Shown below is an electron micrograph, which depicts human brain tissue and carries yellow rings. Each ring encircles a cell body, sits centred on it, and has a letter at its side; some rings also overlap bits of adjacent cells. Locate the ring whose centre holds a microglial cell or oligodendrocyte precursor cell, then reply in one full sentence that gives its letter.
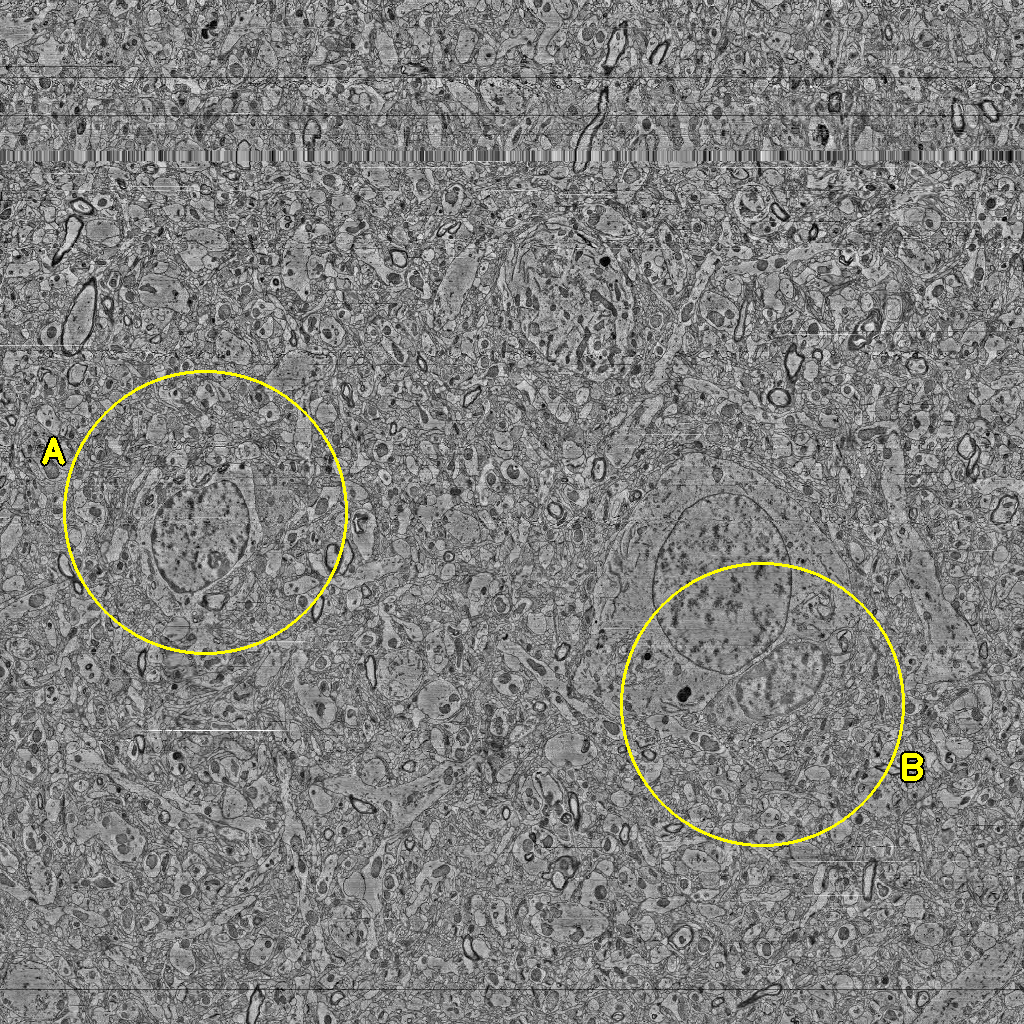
The ring centred on the cell asked for is the one marked A.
